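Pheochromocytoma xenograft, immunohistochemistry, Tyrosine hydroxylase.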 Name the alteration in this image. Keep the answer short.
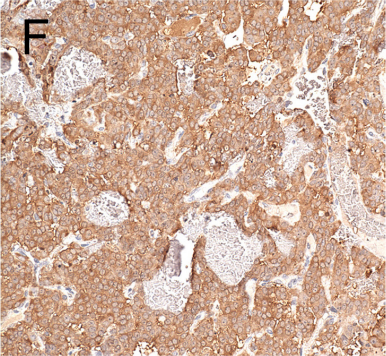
Diffuse growth.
